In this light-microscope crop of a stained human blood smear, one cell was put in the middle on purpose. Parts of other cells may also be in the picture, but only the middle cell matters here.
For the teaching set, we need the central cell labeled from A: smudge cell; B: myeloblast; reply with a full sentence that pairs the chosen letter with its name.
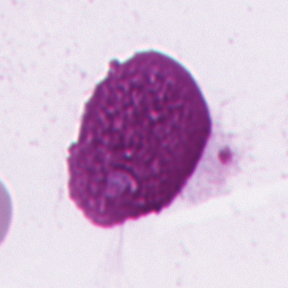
Given that the cell in the middle is a smudge cell, option A is correct.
